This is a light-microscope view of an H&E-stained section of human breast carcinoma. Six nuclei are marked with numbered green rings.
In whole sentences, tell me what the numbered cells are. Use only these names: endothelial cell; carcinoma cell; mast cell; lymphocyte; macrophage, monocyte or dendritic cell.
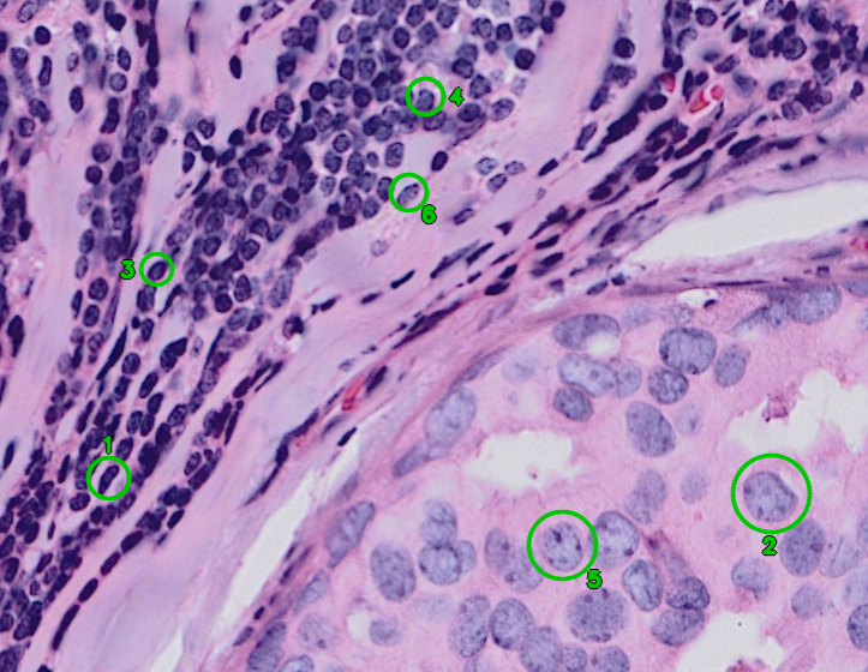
Cell 1 is a lymphocyte, cell 2 is a carcinoma cell, cell 3 is a lymphocyte, cell 4 is a lymphocyte, cell 5 is a carcinoma cell and cell 6 is a lymphocyte.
